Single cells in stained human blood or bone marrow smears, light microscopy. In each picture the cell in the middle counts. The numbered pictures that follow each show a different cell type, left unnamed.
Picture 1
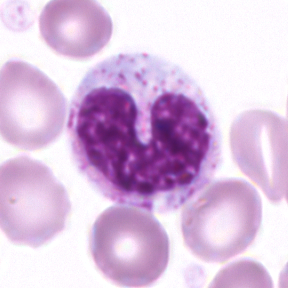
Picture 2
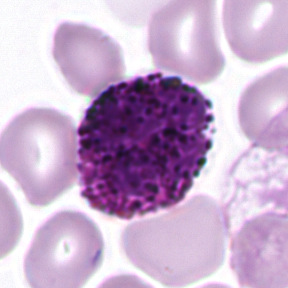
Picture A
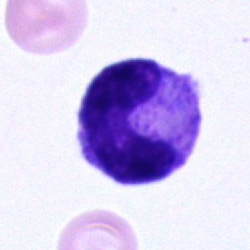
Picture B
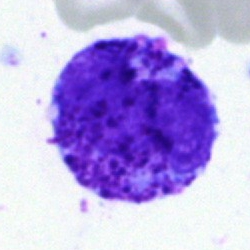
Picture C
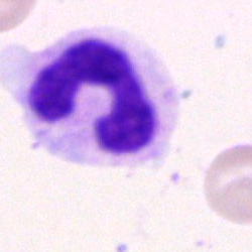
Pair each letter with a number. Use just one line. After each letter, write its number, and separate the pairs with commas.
A 1, B 2, C 1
